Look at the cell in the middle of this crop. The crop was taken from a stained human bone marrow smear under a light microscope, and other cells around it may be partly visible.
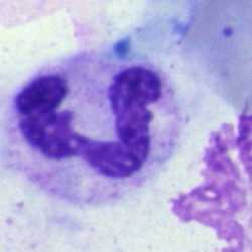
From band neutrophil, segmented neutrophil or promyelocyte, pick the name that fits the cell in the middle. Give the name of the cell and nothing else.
segmented neutrophil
